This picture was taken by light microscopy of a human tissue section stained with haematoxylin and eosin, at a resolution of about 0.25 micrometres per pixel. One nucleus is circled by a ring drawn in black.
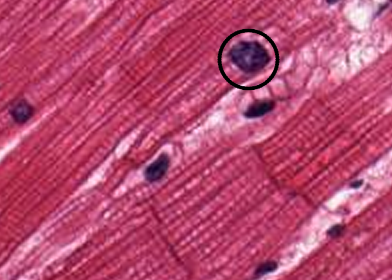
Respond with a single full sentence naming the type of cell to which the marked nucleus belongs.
On this slide, the marked nucleus belongs to a cardiomyocyte.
